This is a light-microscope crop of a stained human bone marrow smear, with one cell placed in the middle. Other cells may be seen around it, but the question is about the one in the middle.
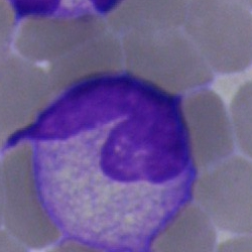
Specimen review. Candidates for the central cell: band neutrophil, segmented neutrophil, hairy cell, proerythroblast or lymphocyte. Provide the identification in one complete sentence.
Of the cells in this crop, the central one is a band neutrophil.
